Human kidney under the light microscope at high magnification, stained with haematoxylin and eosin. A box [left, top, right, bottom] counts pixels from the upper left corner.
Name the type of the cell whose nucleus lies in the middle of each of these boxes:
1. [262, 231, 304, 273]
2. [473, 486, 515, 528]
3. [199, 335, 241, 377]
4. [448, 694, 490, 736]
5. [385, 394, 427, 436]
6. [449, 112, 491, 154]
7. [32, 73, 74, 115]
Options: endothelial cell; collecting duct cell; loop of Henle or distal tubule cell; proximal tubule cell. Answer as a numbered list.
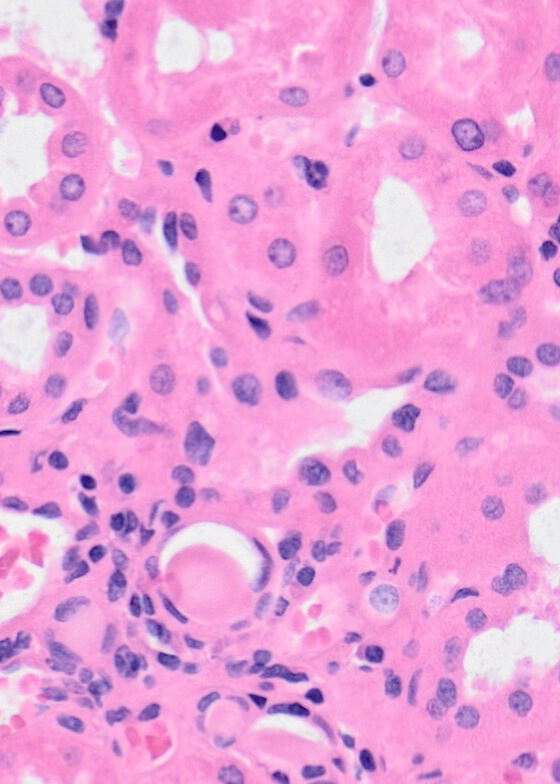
1. proximal tubule cell
2. loop of Henle or distal tubule cell
3. loop of Henle or distal tubule cell
4. loop of Henle or distal tubule cell
5. loop of Henle or distal tubule cell
6. proximal tubule cell
7. proximal tubule cell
